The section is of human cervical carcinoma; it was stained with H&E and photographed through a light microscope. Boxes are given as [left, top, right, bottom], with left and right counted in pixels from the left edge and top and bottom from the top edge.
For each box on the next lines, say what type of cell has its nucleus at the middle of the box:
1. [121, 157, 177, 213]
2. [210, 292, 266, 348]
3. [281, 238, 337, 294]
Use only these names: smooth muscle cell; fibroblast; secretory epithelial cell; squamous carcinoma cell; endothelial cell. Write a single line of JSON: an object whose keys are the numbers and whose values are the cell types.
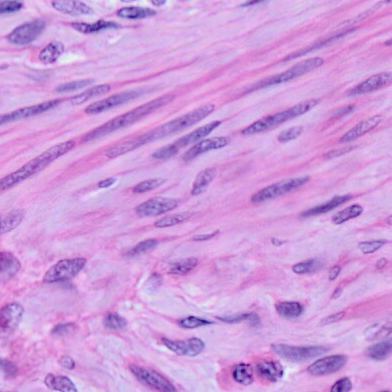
{"1": "smooth muscle cell", "2": "fibroblast", "3": "smooth muscle cell"}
